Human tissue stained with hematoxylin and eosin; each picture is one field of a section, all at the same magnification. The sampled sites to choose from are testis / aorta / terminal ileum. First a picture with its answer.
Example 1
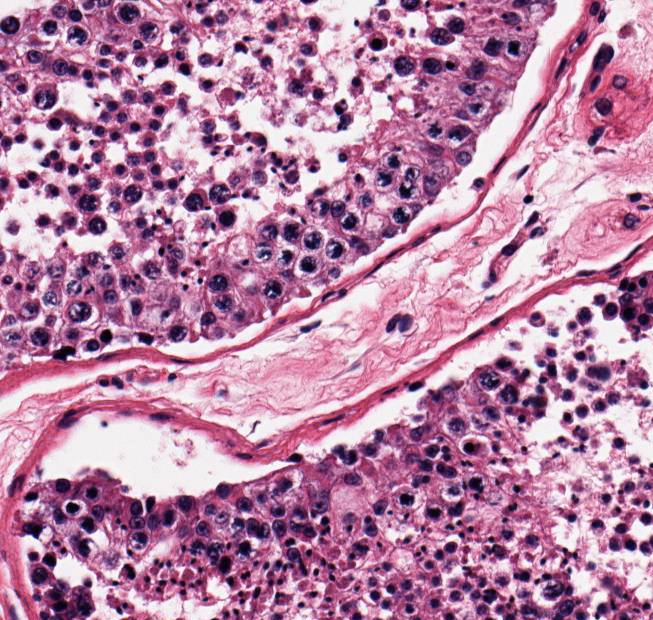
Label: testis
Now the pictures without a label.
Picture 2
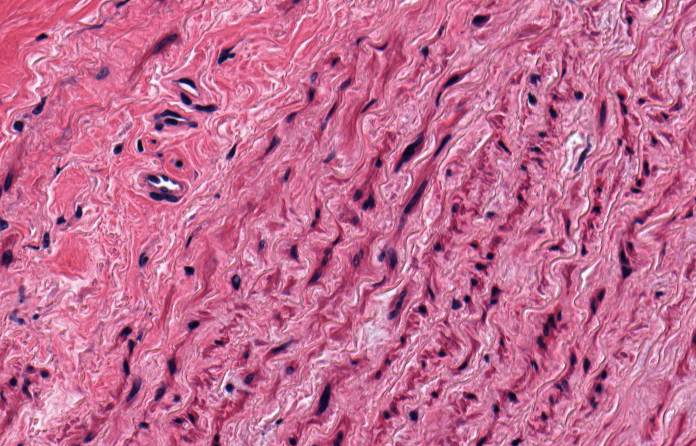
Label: aorta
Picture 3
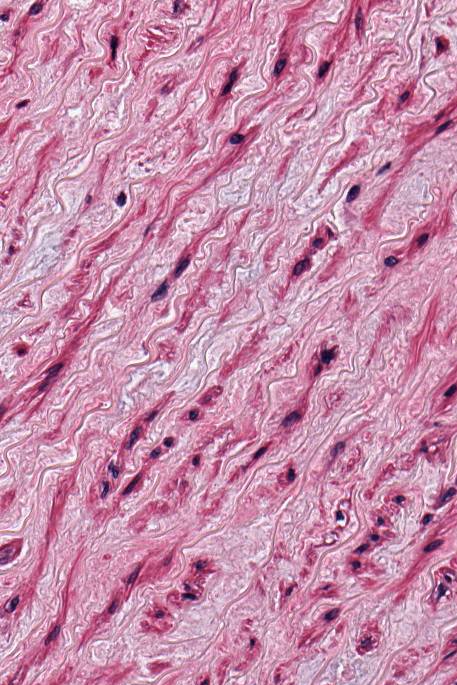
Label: aorta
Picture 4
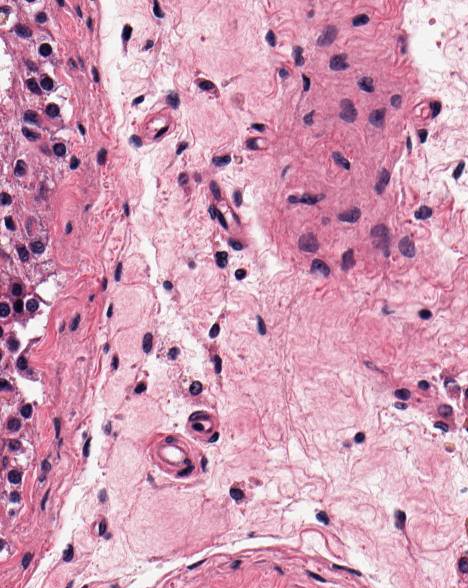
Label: testis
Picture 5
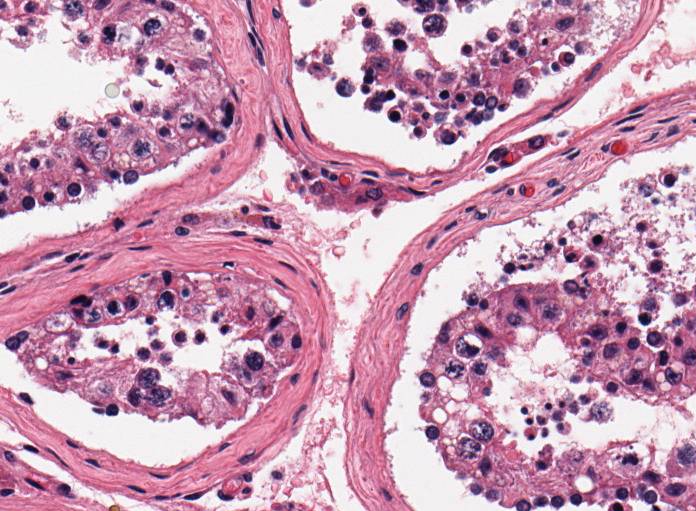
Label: testis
